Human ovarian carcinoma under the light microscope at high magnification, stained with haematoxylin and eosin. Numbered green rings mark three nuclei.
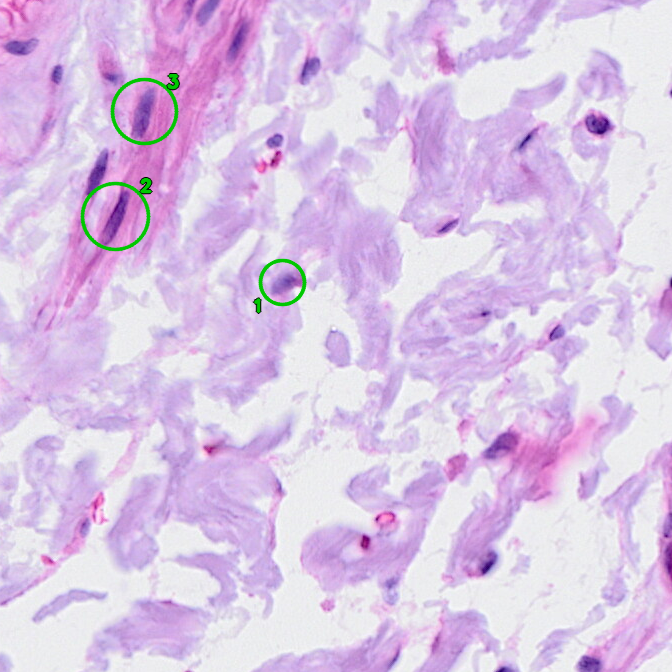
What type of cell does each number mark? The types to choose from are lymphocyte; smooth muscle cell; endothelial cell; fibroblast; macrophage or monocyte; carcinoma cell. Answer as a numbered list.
1. fibroblast
2. smooth muscle cell
3. smooth muscle cell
